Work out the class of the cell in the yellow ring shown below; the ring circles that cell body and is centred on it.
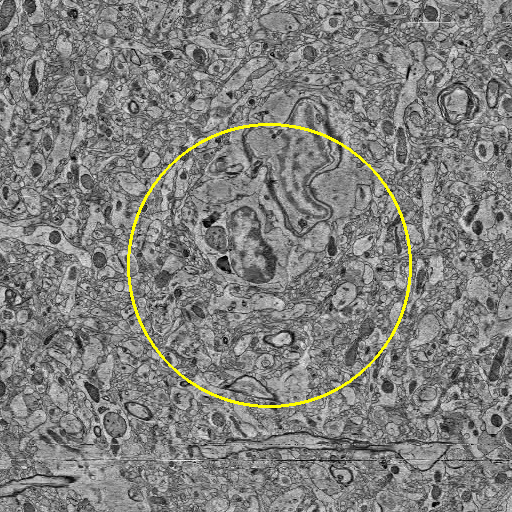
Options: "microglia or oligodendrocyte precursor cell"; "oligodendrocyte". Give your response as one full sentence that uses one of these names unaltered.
The body ringed in yellow, right at the ring's centre, is that of a microglial cell or oligodendrocyte precursor cell.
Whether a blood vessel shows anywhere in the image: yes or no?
Yes, a vessel shows somewhere in the image.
